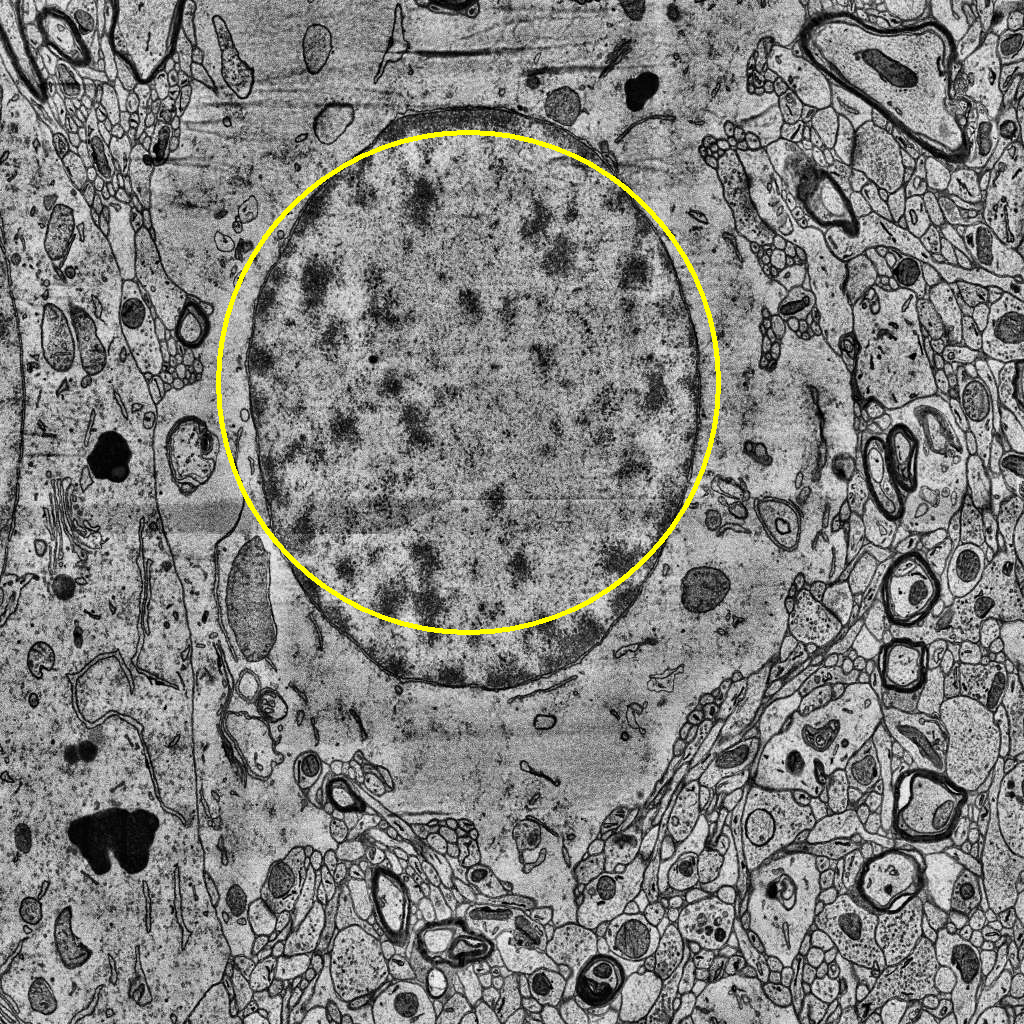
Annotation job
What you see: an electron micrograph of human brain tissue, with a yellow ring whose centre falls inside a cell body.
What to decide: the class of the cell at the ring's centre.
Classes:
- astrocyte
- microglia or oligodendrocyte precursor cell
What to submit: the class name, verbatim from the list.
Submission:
astrocyte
